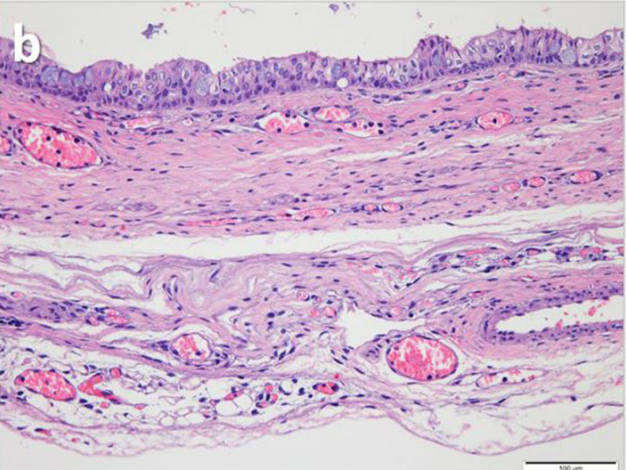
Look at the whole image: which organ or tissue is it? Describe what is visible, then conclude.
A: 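Several cells hold pale, clear cytoplasmic vacuoles. A fine fringe lines the free surface of the cells.
Answer: mucin-producing ciliated epithelium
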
